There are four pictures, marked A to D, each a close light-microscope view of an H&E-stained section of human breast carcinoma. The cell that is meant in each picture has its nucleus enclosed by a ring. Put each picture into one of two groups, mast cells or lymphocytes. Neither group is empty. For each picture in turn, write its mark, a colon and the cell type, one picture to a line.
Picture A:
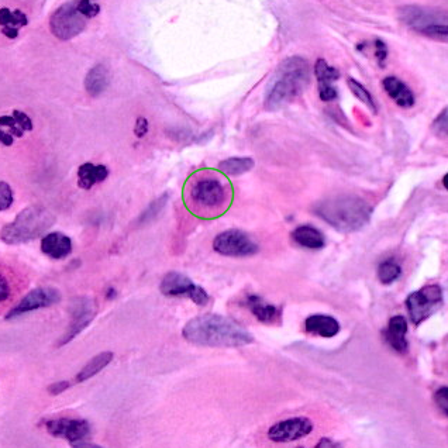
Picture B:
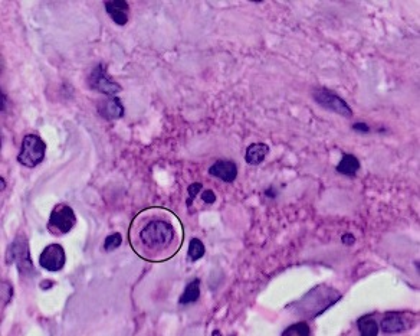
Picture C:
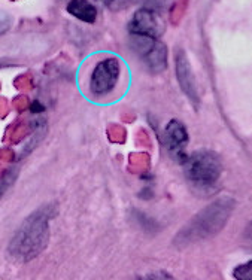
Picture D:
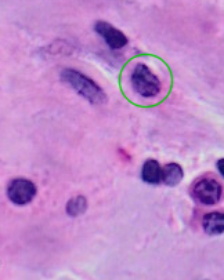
A: mast cell
B: mast cell
C: mast cell
D: lymphocyte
